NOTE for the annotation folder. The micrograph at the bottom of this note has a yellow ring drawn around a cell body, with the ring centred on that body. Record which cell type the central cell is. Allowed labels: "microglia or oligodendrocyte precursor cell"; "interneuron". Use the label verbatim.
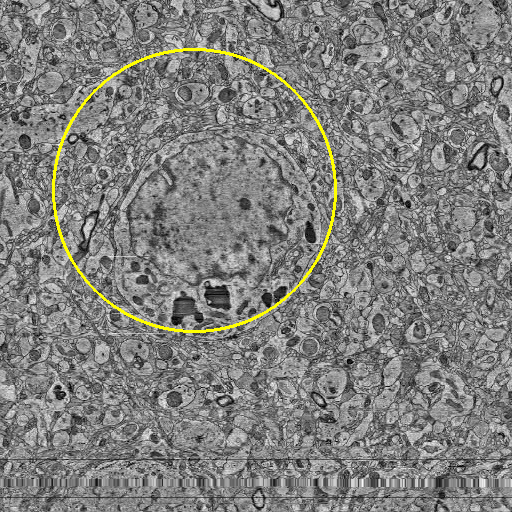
interneuron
